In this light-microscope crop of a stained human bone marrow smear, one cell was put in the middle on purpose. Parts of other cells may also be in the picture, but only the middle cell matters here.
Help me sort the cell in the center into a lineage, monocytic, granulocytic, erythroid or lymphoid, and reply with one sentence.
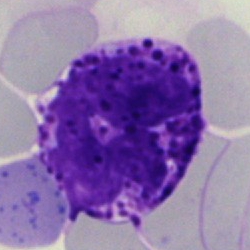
From the granulocytic lineage comes the cell in the middle of the crop.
